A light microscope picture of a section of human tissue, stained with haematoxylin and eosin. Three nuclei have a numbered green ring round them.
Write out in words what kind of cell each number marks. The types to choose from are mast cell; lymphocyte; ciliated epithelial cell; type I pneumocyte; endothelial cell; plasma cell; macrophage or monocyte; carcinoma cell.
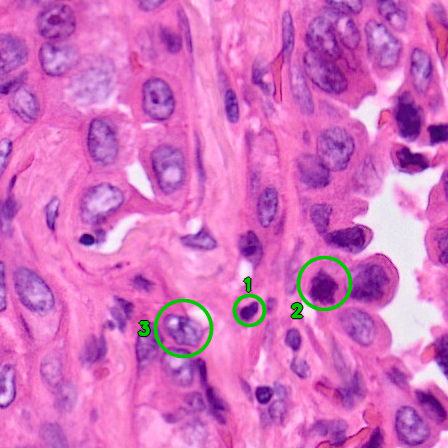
Cell 1 is a lymphocyte. Cells 2 and 3 are carcinoma cells.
